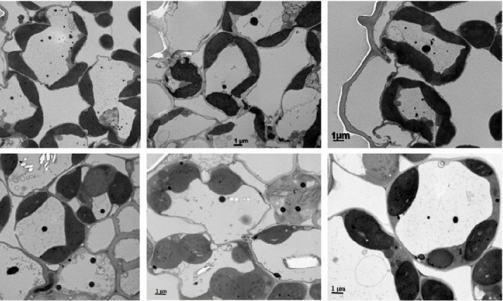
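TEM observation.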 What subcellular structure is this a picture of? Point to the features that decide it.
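Chloroplast. Dark, elongated, lens-shaped organelles lie against the cell walls. They sit in a thin layer of cytoplasm around a large pale central vacuole.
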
